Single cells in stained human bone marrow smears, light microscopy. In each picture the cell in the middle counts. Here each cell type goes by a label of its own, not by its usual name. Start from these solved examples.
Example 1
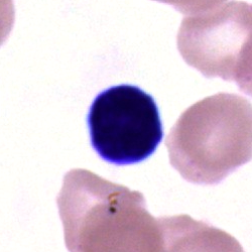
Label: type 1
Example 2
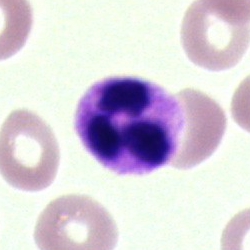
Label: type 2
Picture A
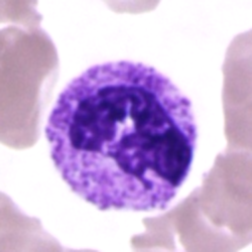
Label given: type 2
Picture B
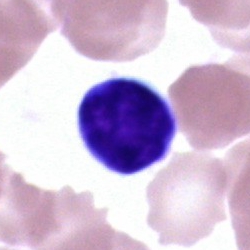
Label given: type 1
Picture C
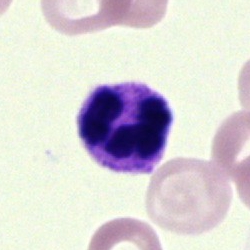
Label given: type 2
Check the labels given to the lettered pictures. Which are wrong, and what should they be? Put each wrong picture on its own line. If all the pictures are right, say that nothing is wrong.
Nothing to fix; every label fits.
